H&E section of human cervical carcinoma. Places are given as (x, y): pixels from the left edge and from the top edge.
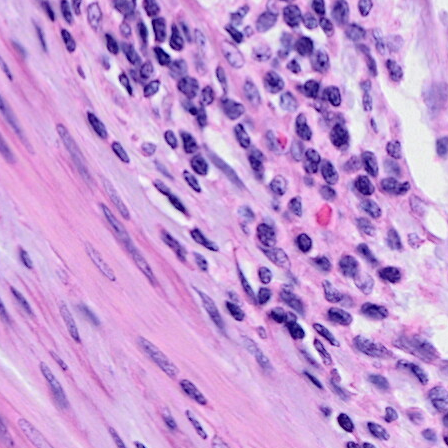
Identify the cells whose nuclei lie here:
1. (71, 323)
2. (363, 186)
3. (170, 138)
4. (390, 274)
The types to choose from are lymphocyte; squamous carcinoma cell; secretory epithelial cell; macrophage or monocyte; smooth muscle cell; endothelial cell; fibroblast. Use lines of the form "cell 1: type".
cell 1: smooth muscle cell
cell 2: lymphocyte
cell 3: lymphocyte
cell 4: lymphocyte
